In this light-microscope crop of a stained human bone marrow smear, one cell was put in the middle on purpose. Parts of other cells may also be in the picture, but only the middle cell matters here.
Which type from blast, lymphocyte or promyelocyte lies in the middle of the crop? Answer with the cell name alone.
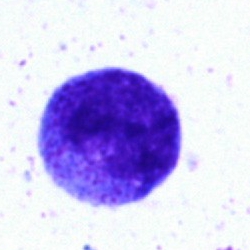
promyelocyte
